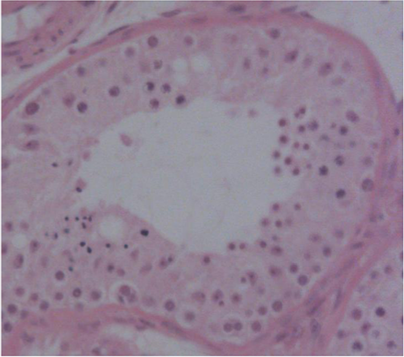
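A tubule of testicular tissue is cut across, ringed by a thin pink wall with flattened cells, and lined by several layers of cells with round purple nuclei in pink cytoplasm. Toward the central lumen lie groups of small, dark, condensed nuclei, while larger round nuclei sit deeper in the layered epithelium, the picture of tissue with active spermatogenesis.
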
